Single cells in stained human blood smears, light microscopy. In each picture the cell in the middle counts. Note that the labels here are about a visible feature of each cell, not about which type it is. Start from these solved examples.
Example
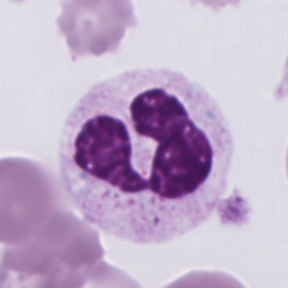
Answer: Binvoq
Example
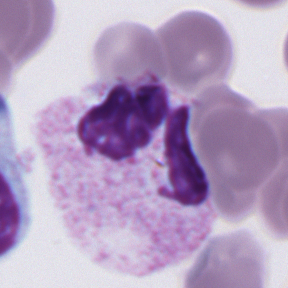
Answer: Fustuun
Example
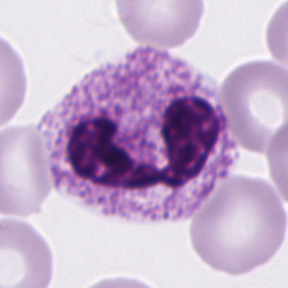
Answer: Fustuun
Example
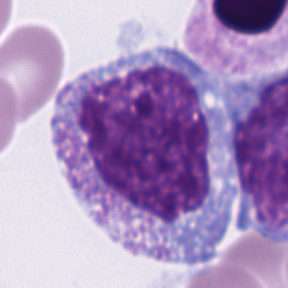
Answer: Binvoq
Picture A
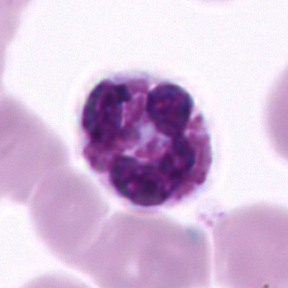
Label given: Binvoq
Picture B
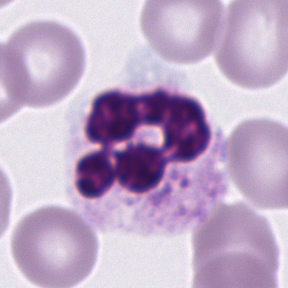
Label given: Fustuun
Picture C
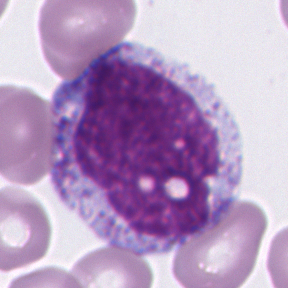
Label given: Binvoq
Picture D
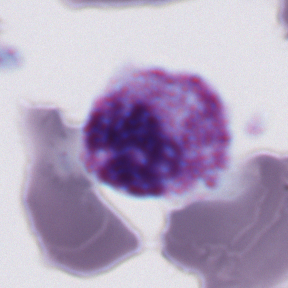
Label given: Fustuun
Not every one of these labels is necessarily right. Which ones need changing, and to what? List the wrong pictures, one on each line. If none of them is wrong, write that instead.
B should be Binvoq, not Fustuun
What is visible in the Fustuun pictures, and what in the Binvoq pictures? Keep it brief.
Fustuun: coarse or large granules; Binvoq: fine or small granules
